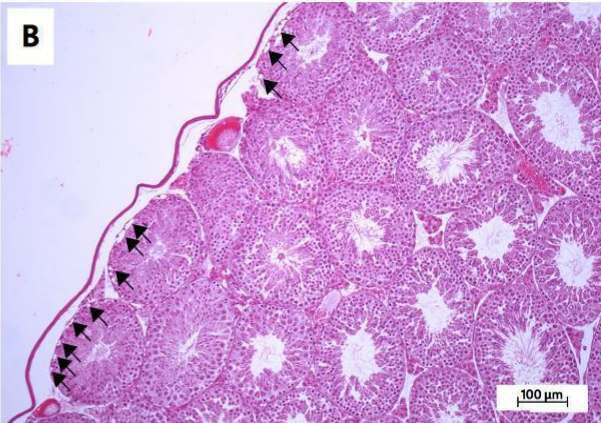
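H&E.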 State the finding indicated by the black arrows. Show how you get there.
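The arrows point to small clear round spaces within the epithelium of tubules lying just beneath the capsule. The clear spaces interrupt the otherwise dense pink-purple epithelial layer. On this evidence: vacuolation.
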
